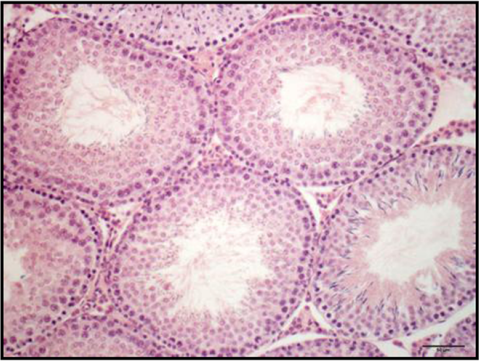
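This is a section of testis showing closely packed seminiferous tubules cut in cross-section, with normal spermatogenesis. Each tubule is lined by a thick, orderly epithelium of many layers of germ cells with purple nuclei, arranged in rows from the outer edge toward the centre. The central lumens are open and contain pale, wispy pink material. Between the tubules the interstitial tissue is scant, forming thin strips where the tubules meet. The pink cytoplasm and purple nuclei give the epithelium an even, regular appearance throughout.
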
